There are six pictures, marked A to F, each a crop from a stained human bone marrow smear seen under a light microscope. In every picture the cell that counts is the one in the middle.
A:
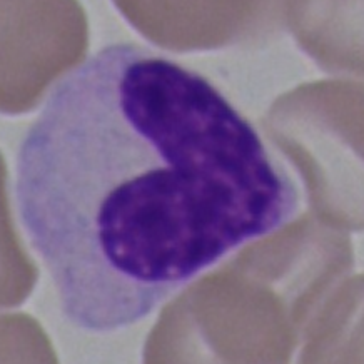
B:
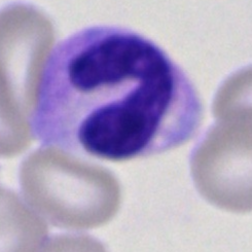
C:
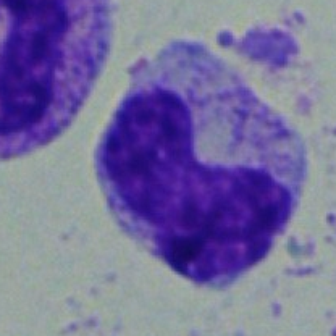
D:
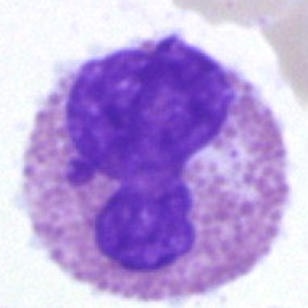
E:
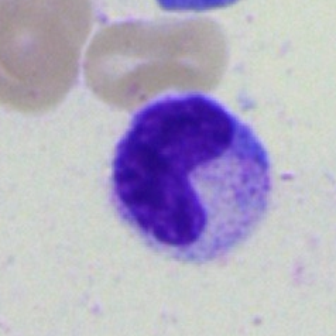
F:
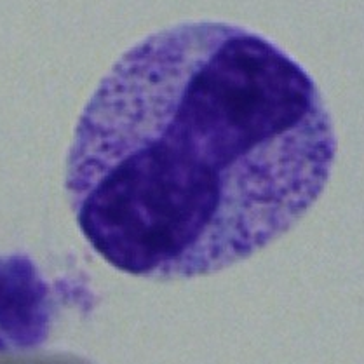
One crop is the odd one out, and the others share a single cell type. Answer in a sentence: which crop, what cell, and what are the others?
Crop D is the odd one out, being an eosinophil, while all the other crops show band neutrophils.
